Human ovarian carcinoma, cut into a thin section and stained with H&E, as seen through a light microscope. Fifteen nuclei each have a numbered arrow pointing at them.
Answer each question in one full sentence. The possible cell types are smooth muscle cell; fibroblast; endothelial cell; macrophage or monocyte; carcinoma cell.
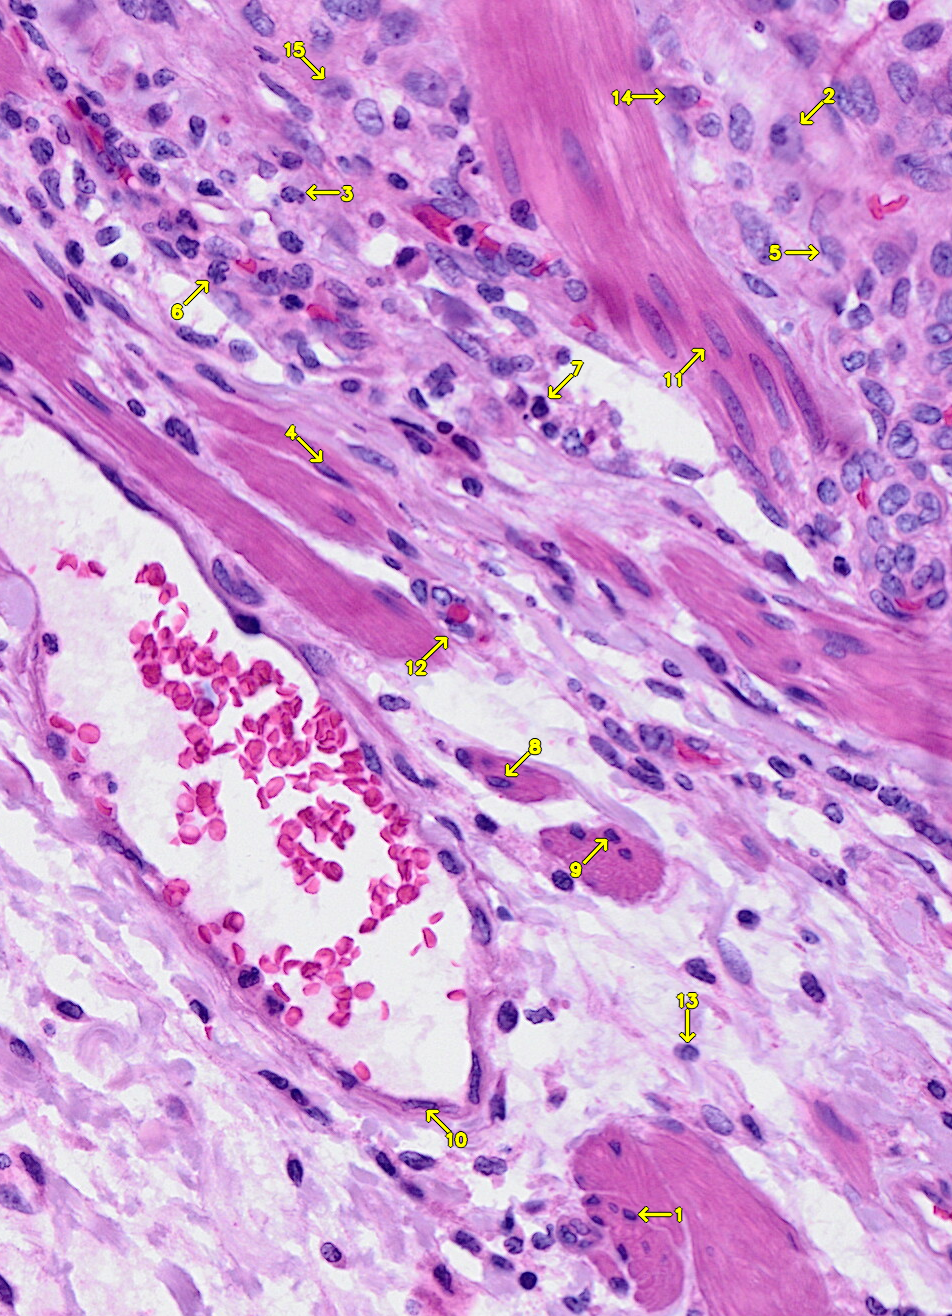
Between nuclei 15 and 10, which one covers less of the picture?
Nucleus 10 covers less area, with nucleus 15 about 3 times as large.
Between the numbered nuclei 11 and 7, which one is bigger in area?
At about 1.5 times the area of nucleus 7, nucleus 11 is the larger of the two.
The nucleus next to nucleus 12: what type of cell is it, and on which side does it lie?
Just above nucleus 12 lies the nearest nucleus, which belongs to an endothelial cell.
